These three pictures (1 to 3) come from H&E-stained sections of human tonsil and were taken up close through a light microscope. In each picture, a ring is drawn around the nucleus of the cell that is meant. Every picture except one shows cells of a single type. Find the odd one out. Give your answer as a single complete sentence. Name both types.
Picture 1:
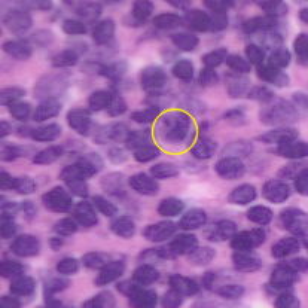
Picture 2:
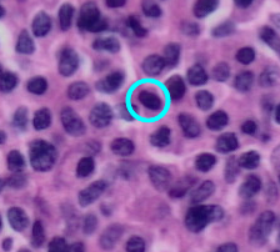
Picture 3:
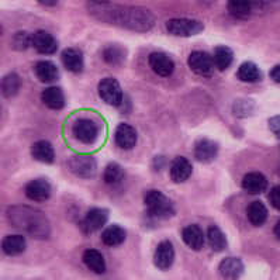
All pictures except 1 show plasma cells; picture 1 shows a small lymphocyte.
